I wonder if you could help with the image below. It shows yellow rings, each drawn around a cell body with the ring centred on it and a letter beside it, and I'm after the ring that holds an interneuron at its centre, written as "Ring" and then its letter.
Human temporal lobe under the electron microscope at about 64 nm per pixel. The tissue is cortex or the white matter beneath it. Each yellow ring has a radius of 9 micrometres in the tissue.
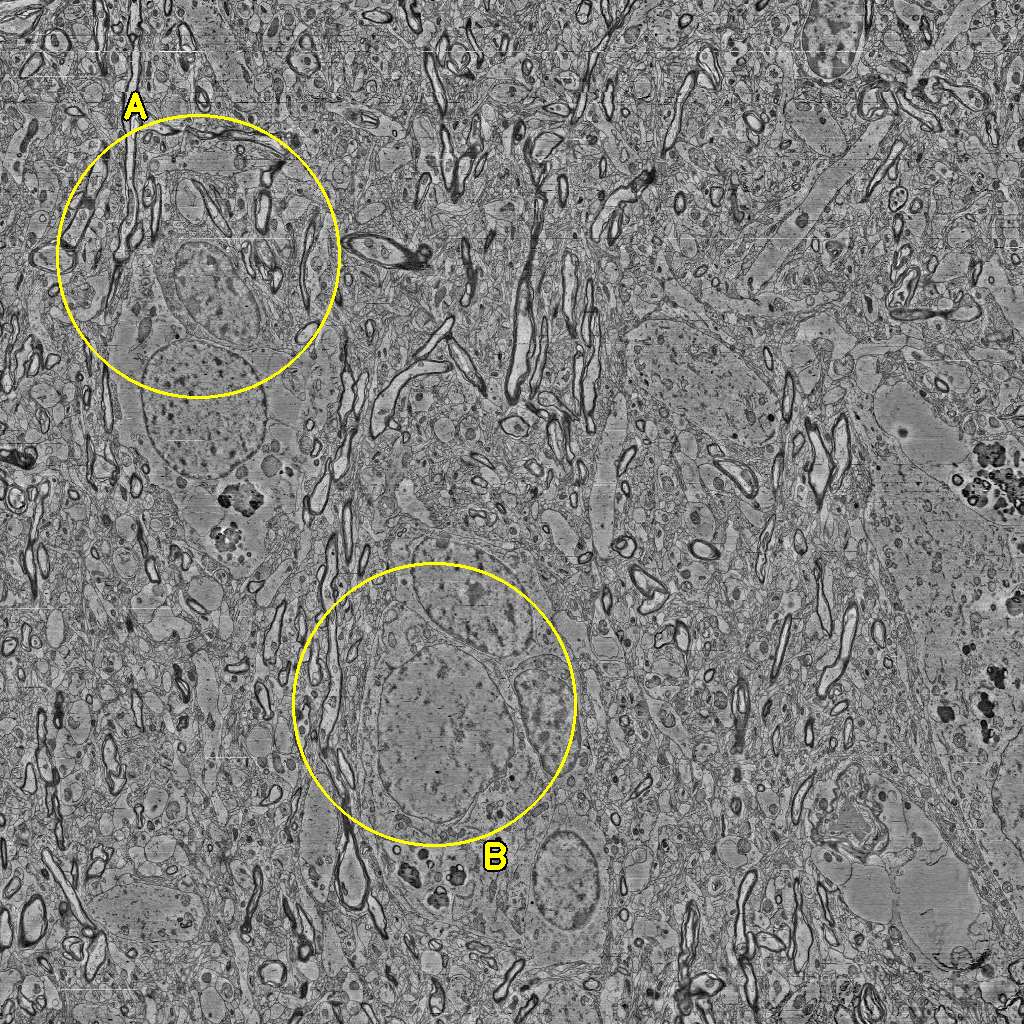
Ring B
